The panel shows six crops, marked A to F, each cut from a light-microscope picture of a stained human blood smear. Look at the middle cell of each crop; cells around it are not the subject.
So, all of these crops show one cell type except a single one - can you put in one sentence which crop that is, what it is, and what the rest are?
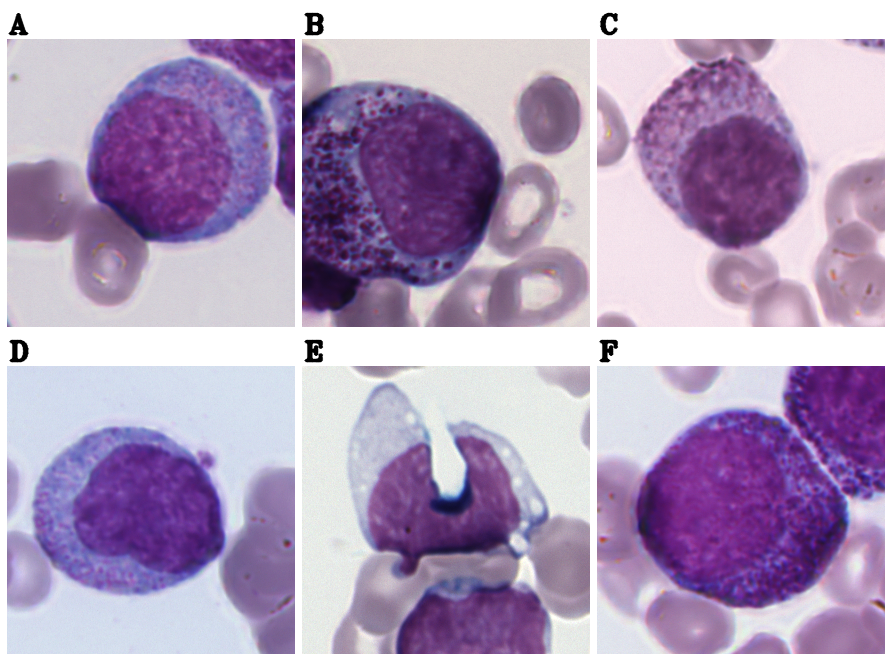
Crop E alone is a myeloblast, and the other crops are all promyelocytes.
